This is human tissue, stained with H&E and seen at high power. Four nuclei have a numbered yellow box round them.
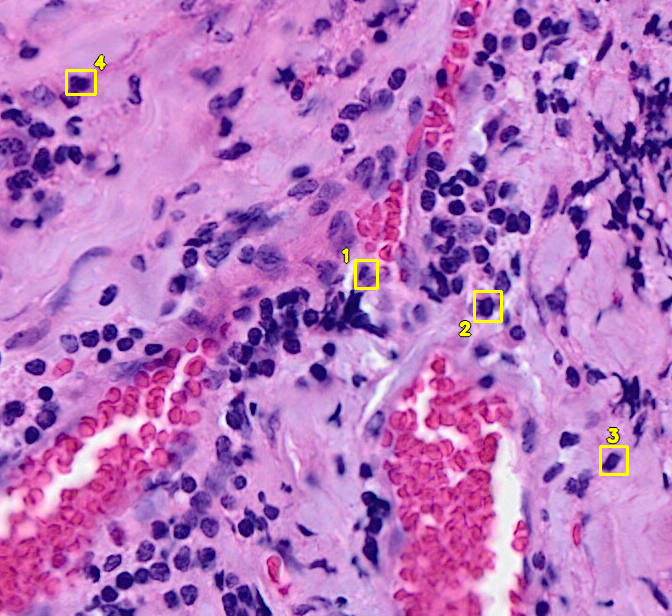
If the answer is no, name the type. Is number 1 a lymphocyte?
No, it is an endothelial cell.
